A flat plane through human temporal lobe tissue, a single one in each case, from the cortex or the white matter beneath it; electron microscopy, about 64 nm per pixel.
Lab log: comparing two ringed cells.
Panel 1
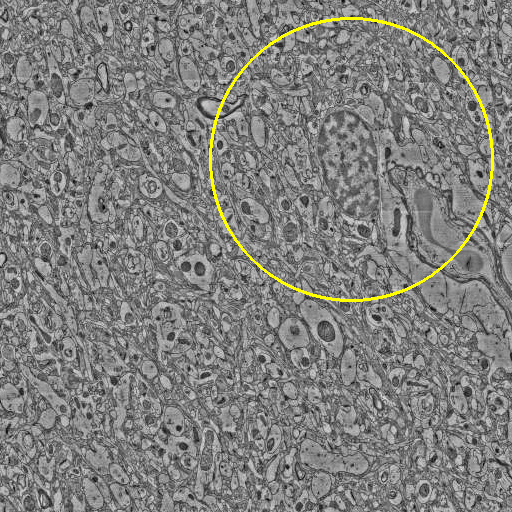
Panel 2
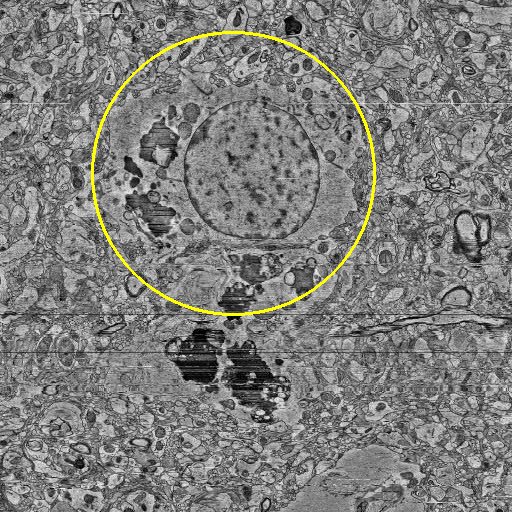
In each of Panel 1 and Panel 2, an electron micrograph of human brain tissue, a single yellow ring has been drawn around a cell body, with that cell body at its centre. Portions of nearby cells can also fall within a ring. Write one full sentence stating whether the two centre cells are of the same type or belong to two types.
The cells at the ring centres in Panel 1 and Panel 2 belong to two types.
